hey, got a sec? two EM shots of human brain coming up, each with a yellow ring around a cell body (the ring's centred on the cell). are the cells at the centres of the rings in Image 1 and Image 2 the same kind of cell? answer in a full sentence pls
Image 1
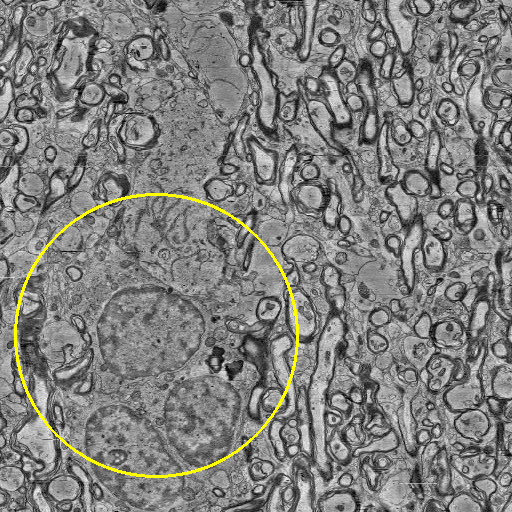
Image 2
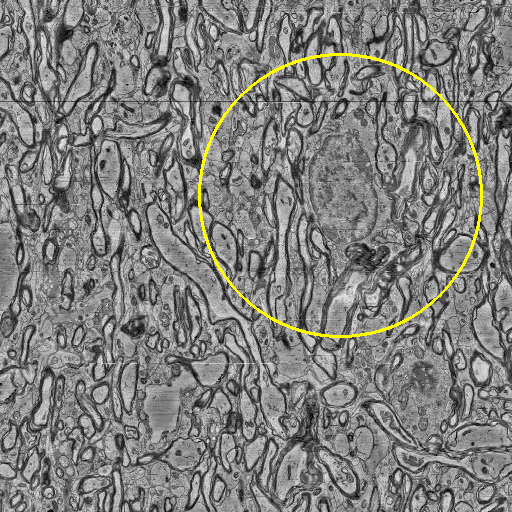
Yes, both are the same kind of cell.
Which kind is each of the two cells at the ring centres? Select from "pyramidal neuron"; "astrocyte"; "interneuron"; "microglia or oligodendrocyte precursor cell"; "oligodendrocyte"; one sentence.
Both cells are the same kind, each one being an oligodendrocyte.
